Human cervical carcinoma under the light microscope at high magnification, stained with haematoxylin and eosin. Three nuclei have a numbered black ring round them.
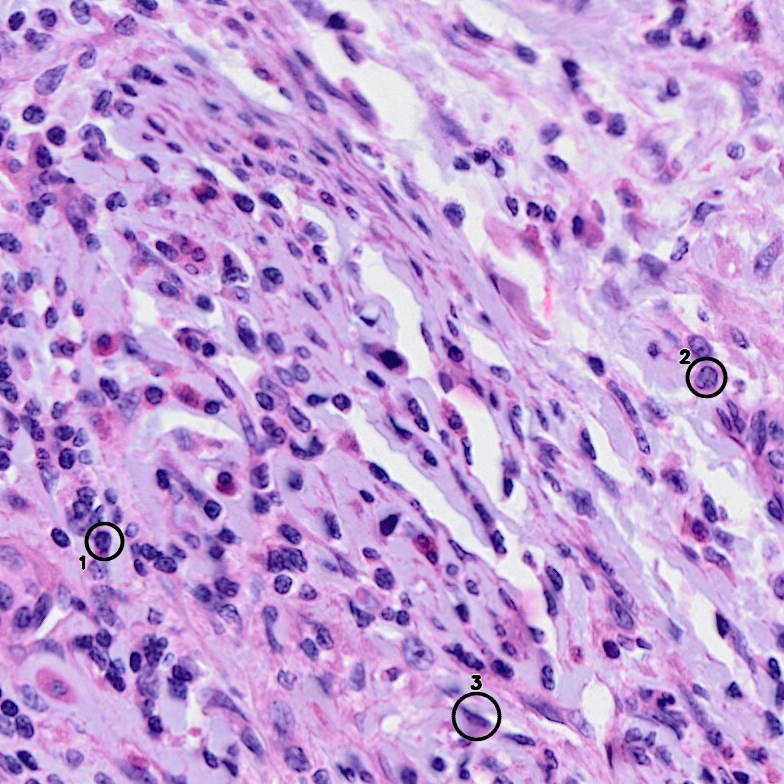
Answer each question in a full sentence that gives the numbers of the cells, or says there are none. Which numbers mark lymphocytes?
Across all the numbered cells, only number 1 is a lymphocyte.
